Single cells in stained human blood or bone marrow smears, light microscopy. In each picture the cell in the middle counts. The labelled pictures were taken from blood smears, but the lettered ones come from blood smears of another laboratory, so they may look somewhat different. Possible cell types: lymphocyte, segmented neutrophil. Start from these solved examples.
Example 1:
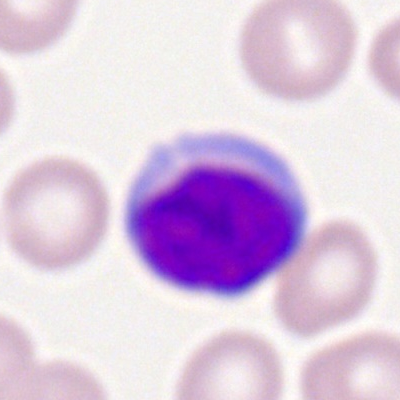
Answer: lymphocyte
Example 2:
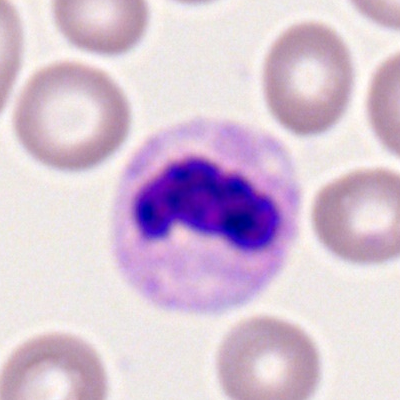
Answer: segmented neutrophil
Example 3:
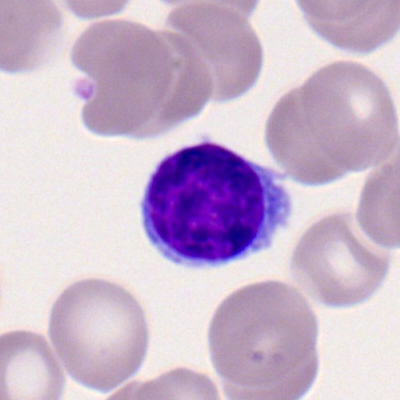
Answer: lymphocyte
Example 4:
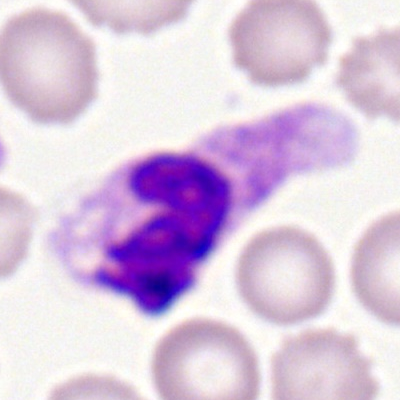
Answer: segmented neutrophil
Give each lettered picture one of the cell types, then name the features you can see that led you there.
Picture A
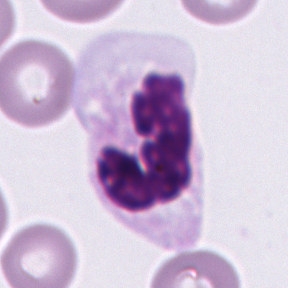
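Label: segmented neutrophil. The cytoplasm is plentiful and pale pinkish-lilac.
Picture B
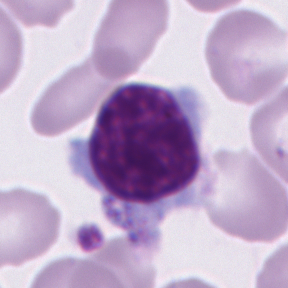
Label: lymphocyte. The nucleus fills most of the cell.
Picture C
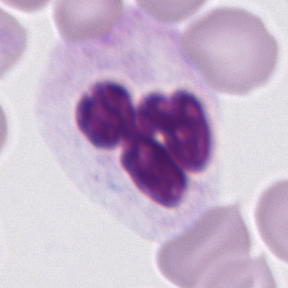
Label: segmented neutrophil. The cytoplasm is abundant and pale pinkish-lilac.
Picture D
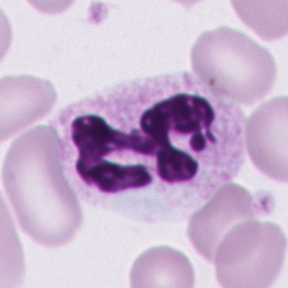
Label: segmented neutrophil. The cytoplasm is plentiful and pale pink.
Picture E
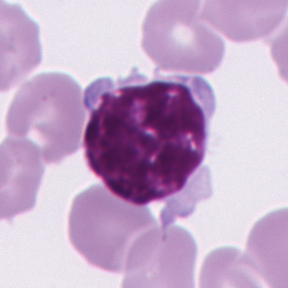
Label: lymphocyte. The cytoplasm is a scant, pale greyish-lilac rim, seen mostly along the top of the cell.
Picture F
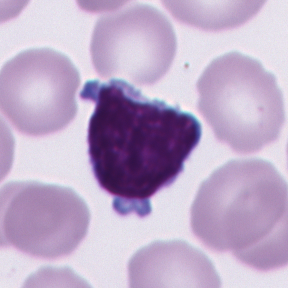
Label: lymphocyte. The cytoplasm is a scant pale blue rim, seen mainly along the upper edge.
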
